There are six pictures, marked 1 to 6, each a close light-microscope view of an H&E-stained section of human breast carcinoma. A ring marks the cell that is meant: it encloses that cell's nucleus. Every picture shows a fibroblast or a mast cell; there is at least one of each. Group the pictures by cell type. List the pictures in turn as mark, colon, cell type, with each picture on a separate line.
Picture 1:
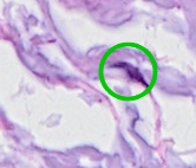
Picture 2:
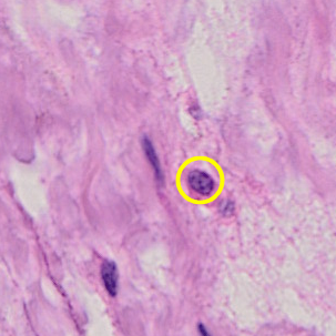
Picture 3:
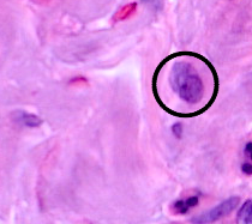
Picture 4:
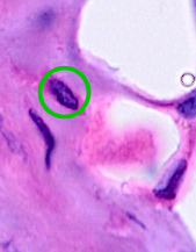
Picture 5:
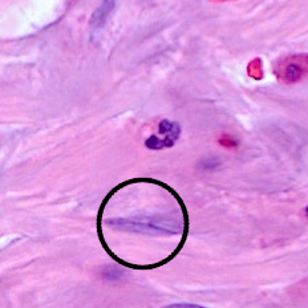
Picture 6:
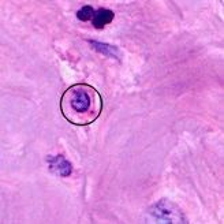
1: fibroblast
2: mast cell
3: fibroblast
4: mast cell
5: fibroblast
6: mast cell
